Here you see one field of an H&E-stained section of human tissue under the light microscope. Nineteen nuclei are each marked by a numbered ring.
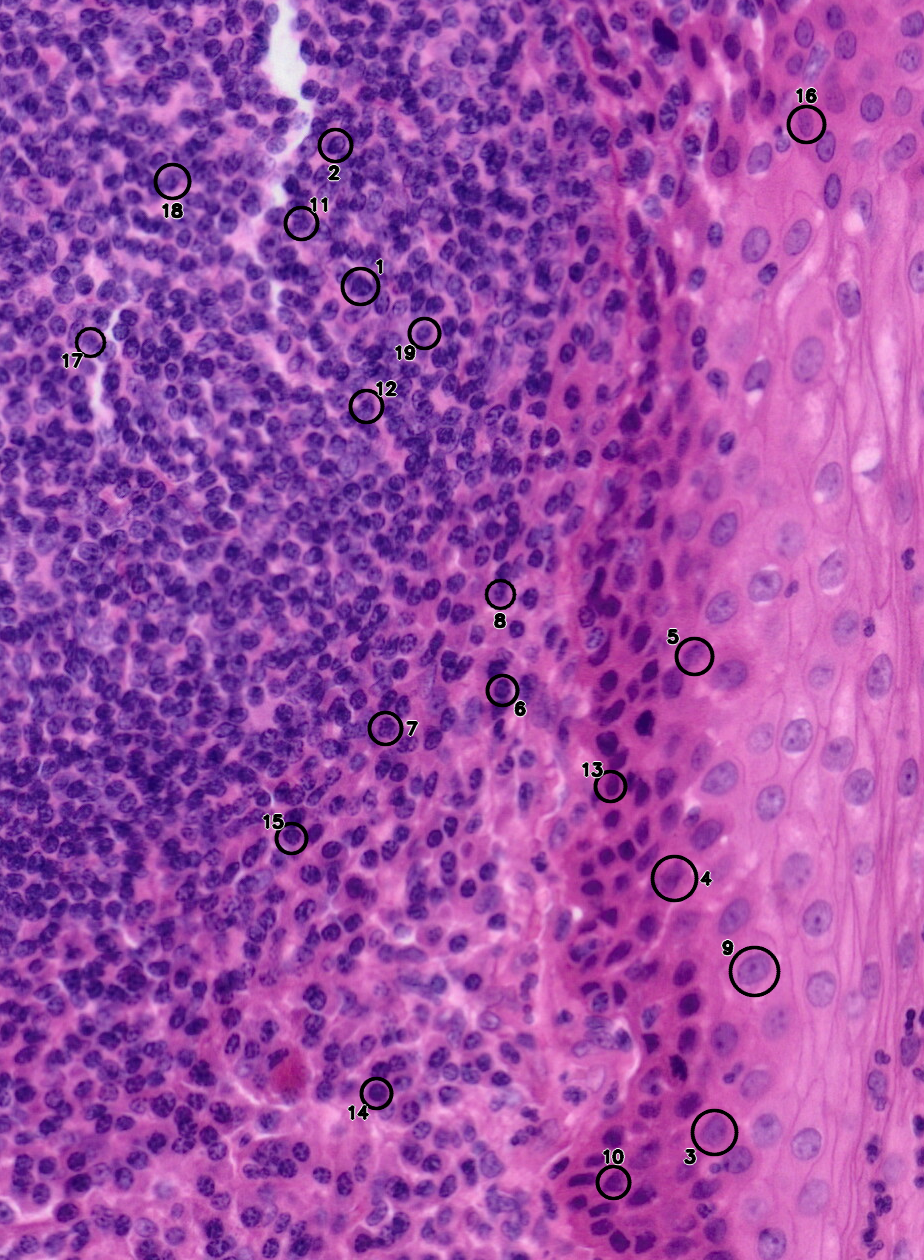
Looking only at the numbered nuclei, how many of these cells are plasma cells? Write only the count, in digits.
5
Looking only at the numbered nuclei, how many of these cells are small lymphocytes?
7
